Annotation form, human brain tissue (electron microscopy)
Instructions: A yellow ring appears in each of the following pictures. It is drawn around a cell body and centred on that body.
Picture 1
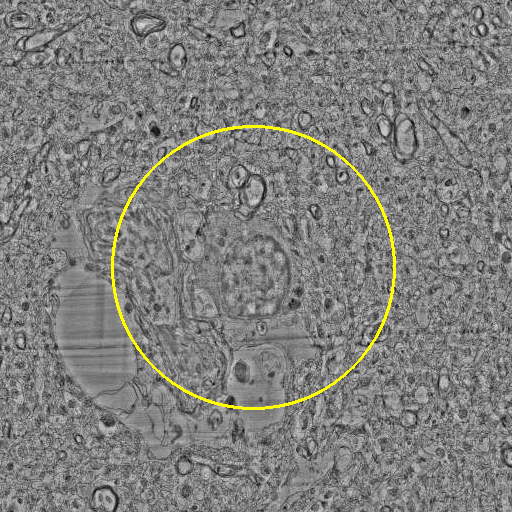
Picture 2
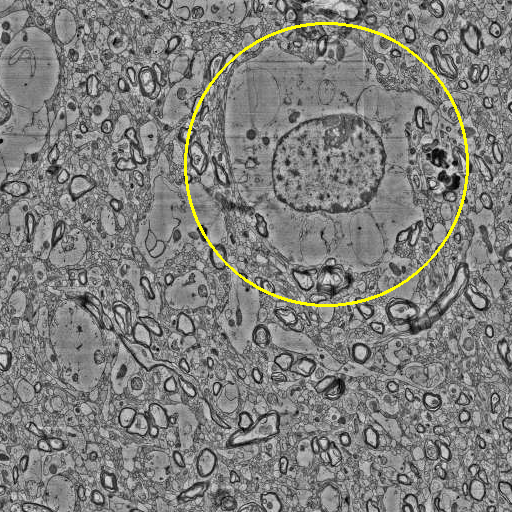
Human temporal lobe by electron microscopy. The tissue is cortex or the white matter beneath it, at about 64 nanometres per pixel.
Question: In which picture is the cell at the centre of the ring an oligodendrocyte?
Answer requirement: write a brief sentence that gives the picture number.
The cell at the centre of the ring in Picture 1 is the one asked for.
